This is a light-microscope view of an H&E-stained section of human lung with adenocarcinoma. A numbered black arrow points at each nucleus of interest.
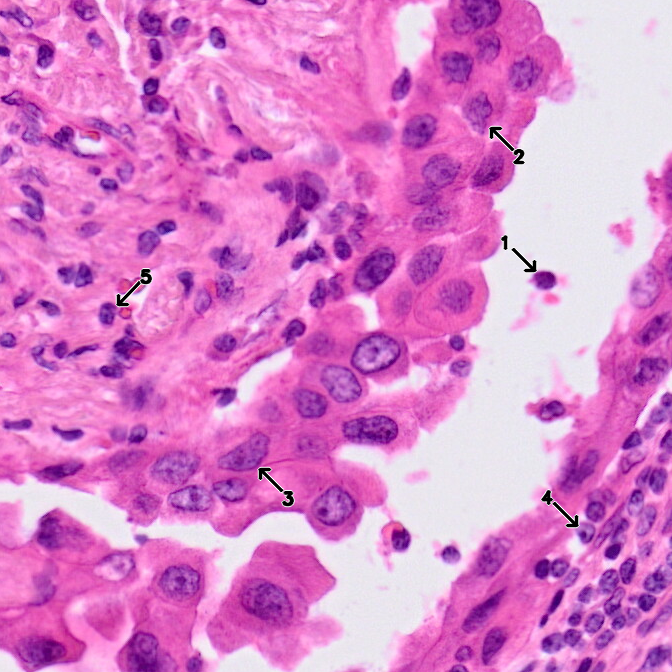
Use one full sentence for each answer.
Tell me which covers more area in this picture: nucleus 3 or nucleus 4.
Of the two, number 3 is bigger and takes up about 4 times the area of number 4.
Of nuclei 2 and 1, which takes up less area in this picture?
With nucleus 2 about 1.5 times its size, nucleus 1 is the smaller of the two.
